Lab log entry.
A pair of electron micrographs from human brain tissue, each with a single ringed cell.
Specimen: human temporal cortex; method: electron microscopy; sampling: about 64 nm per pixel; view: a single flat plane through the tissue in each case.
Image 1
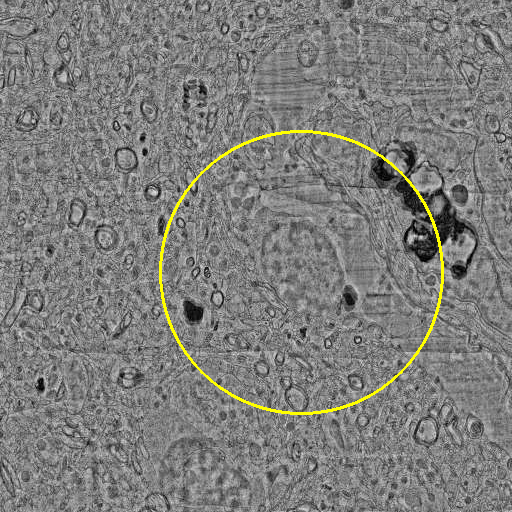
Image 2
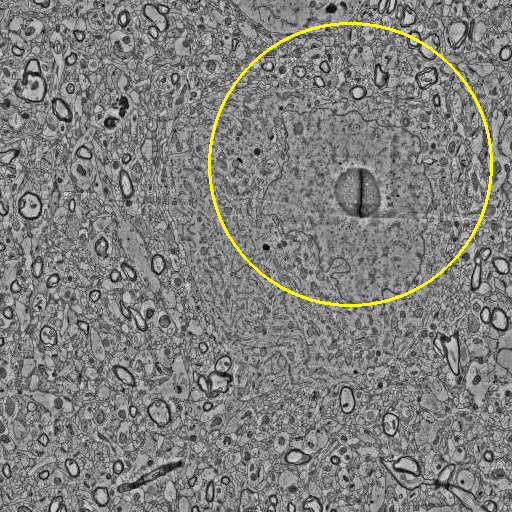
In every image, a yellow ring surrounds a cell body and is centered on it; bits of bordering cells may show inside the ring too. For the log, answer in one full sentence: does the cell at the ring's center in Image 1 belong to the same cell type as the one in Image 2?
No, the cells at the ring centers in Image 1 and Image 2 are of separate types.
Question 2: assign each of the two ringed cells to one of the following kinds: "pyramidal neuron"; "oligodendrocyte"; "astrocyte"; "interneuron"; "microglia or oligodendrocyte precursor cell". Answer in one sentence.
The two cells are an oligodendrocyte in the first picture and a pyramidal neuron in the second.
